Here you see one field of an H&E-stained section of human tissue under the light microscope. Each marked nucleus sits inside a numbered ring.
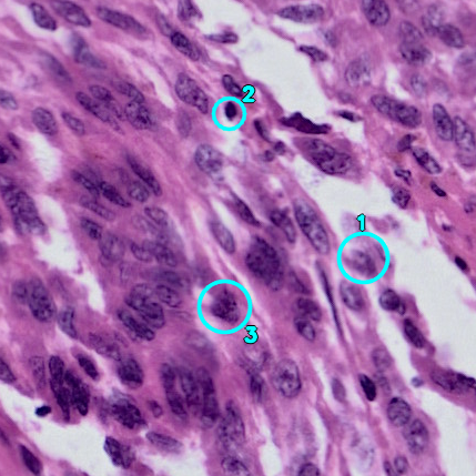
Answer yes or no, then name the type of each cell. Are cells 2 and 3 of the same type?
No, what is marked as cell 2 is a lymphocyte, and what is marked as cell 3 is a melanoma cell.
